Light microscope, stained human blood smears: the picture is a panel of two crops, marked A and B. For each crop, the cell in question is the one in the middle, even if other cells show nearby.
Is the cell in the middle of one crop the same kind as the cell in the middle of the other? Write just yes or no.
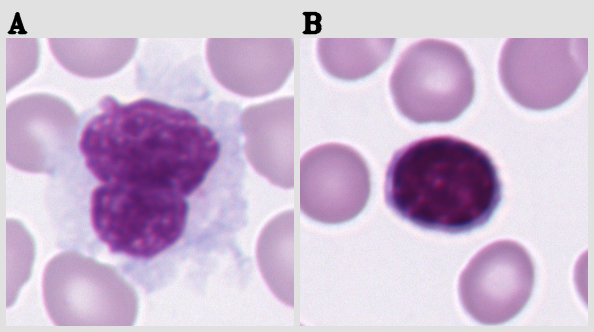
no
